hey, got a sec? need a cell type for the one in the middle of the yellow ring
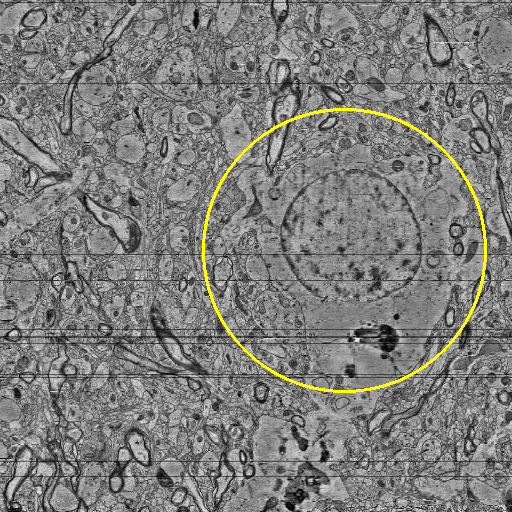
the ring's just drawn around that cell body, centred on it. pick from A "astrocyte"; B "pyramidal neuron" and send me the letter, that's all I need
A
